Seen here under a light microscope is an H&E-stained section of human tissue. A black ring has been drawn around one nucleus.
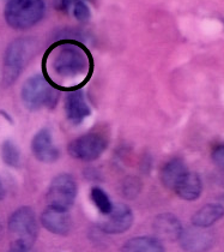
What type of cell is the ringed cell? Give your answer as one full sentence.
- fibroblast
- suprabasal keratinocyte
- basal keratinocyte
Microscopically, the ringed cell is categorized as a basal keratinocyte.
